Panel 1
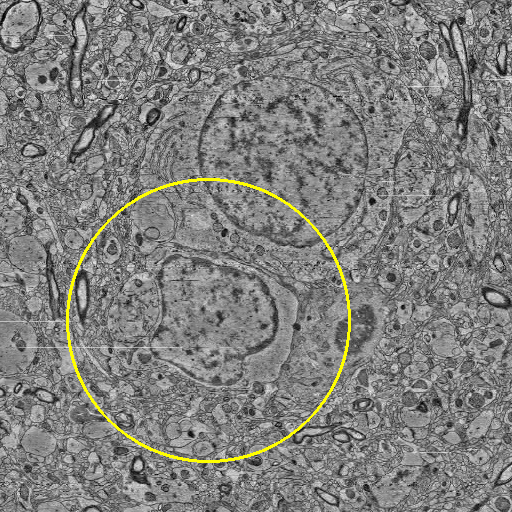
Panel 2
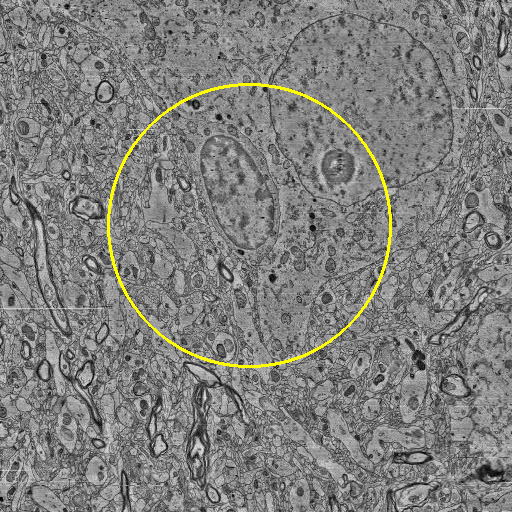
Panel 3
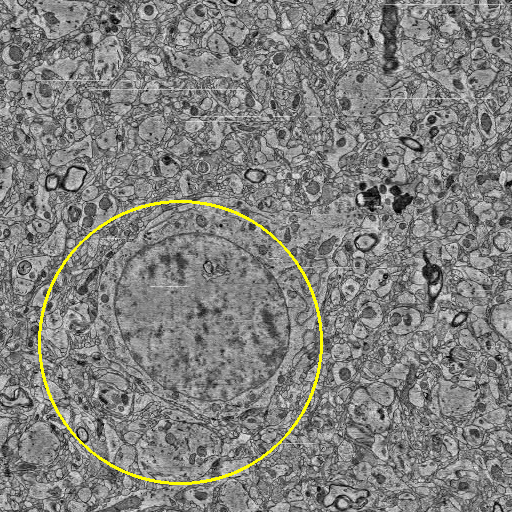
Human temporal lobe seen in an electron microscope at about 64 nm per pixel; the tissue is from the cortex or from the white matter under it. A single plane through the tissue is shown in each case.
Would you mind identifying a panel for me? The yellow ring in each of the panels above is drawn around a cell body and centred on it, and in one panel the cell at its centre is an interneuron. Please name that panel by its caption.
Panel 3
